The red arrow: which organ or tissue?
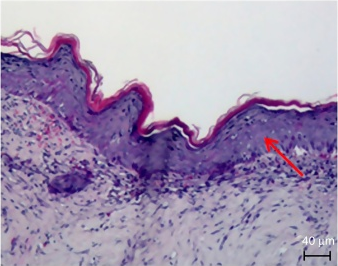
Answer: Epidermis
